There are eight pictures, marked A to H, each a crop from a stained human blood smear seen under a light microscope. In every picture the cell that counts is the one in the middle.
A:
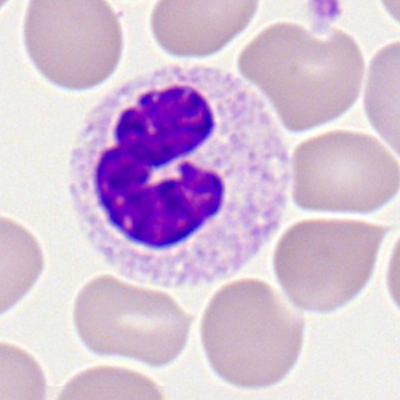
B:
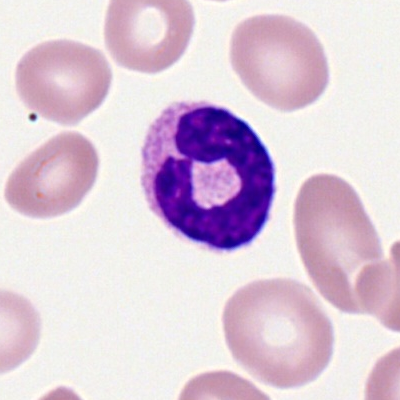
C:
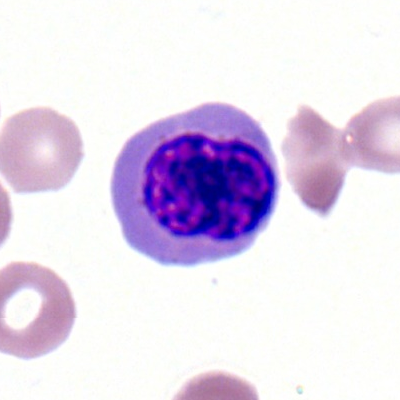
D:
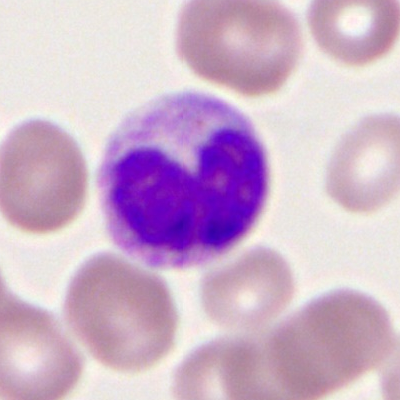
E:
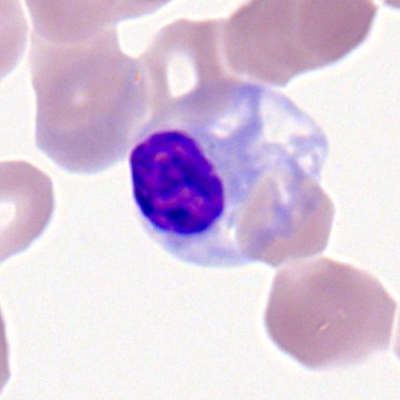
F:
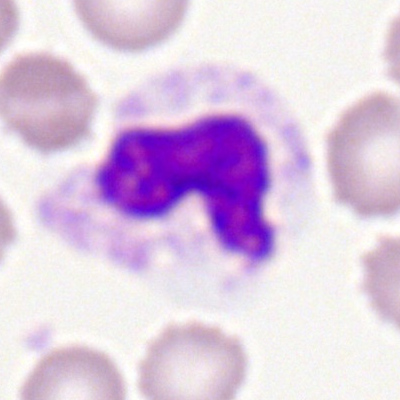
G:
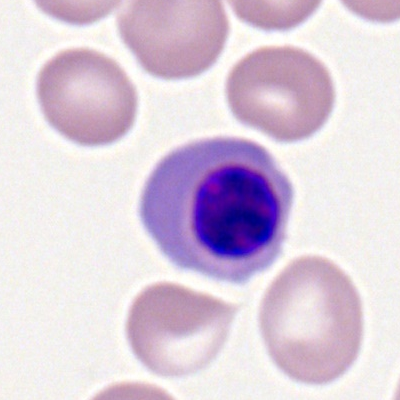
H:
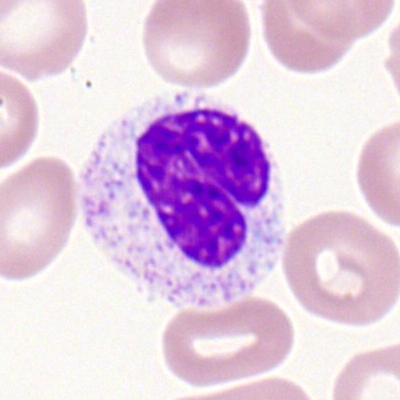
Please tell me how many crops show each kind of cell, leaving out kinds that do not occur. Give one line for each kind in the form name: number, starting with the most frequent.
band neutrophil: 5
normoblast: 3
